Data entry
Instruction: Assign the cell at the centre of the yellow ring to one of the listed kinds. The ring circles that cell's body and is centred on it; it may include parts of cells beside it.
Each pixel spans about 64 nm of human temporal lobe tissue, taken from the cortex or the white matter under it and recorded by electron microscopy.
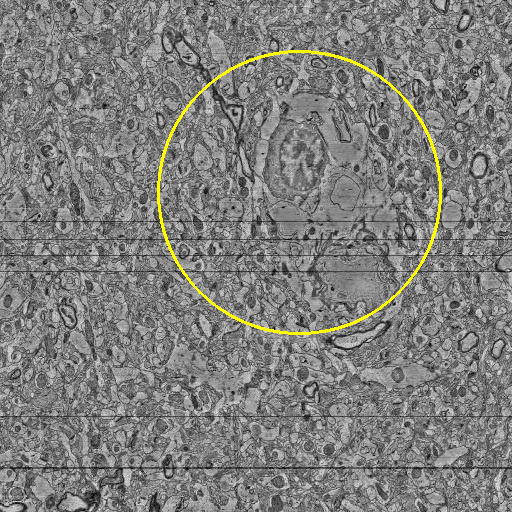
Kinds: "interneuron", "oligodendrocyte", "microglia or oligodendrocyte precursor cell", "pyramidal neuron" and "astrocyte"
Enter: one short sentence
The centre of the ring falls on an oligodendrocyte.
